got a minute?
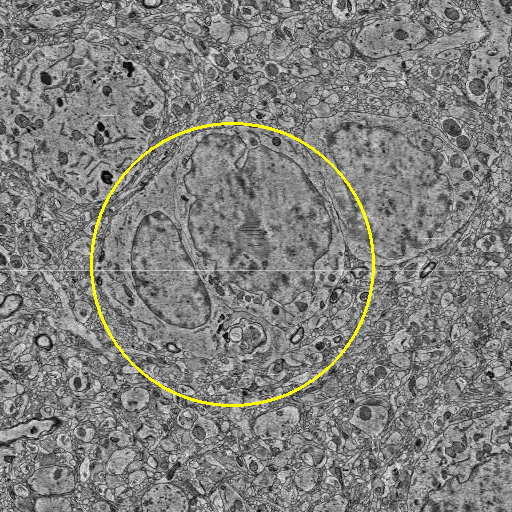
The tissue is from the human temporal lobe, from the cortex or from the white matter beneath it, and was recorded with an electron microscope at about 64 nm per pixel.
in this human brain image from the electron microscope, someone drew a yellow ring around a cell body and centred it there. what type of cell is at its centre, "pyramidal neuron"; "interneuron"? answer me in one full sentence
It's an interneuron at the middle of that yellow ring in the shot.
